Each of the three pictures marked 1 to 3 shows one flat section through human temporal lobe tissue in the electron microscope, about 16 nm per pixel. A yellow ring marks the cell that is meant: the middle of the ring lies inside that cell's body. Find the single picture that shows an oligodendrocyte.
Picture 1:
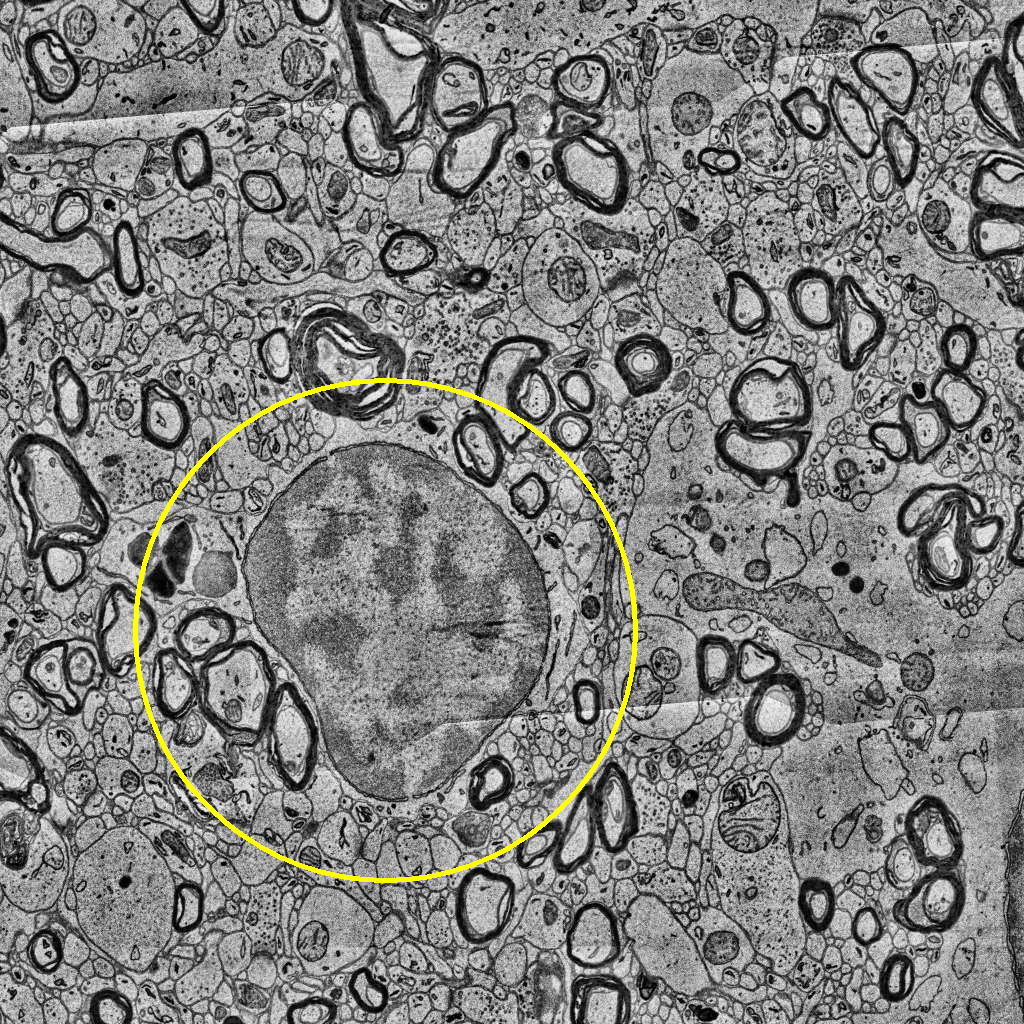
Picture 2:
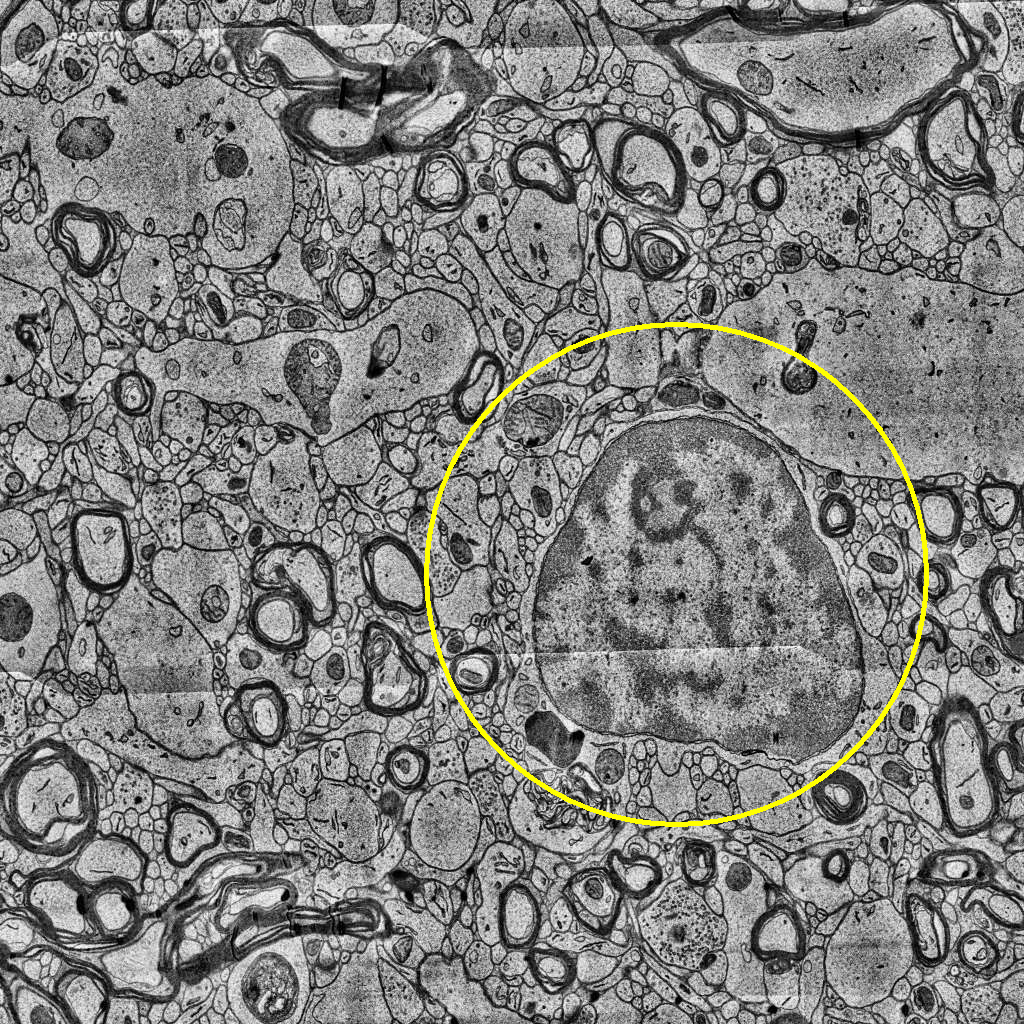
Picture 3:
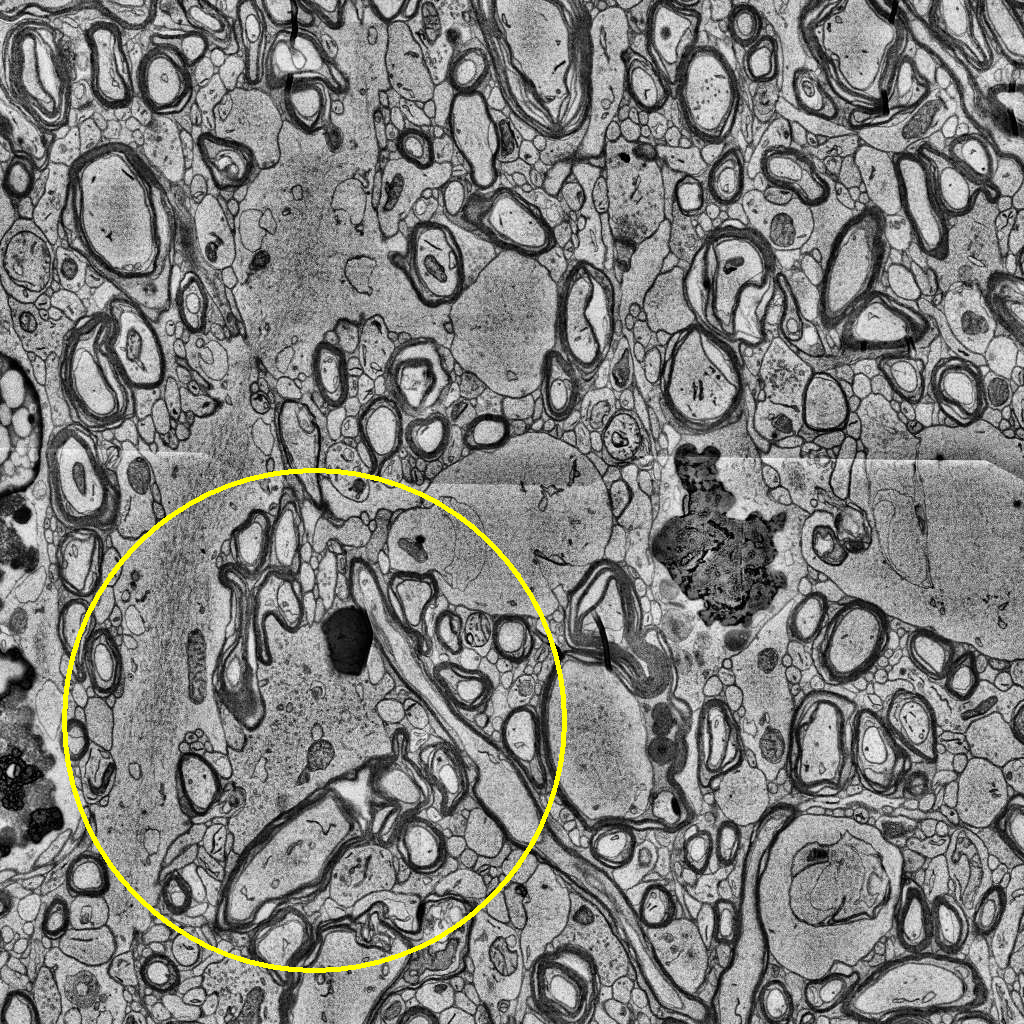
The oligodendrocyte is the one in picture 3.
